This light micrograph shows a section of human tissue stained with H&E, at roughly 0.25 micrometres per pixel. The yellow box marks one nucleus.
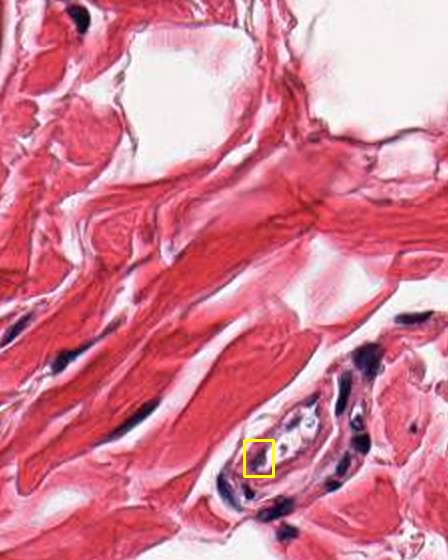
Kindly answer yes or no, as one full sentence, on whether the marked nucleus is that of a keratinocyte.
No, not to a keratinocyte does the marked nucleus belong, but to a supporting cell.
